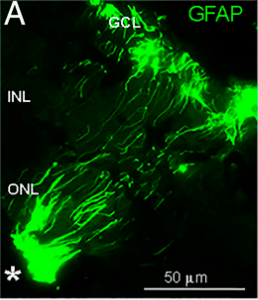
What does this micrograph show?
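A section of retina shows long, thin green fibres running radially from the ganglion cell layer through the inner and outer nuclear layers. At the inner surface they widen into bright tufts, and in the outer retina many of them gather into a dense, brightly stained cluster at the marked spot.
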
